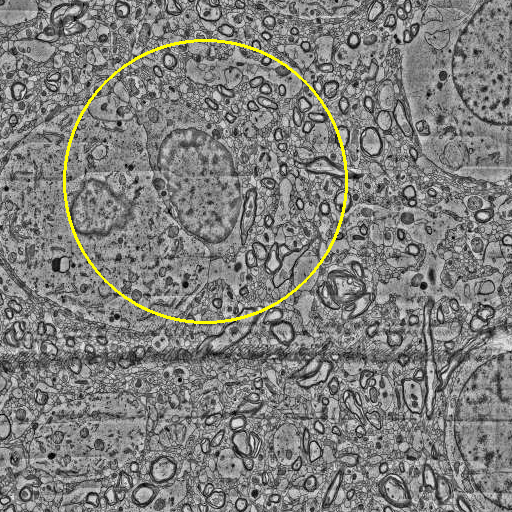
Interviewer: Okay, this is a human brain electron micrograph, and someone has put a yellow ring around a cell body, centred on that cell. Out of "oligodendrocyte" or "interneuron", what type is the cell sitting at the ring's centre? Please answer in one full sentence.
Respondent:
The cell at the centre of the yellow ring in this picture is an oligodendrocyte.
